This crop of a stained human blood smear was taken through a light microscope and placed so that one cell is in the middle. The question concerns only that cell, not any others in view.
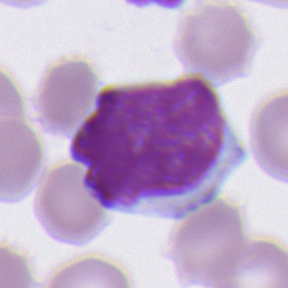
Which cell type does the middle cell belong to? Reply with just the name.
typical lymphocyte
